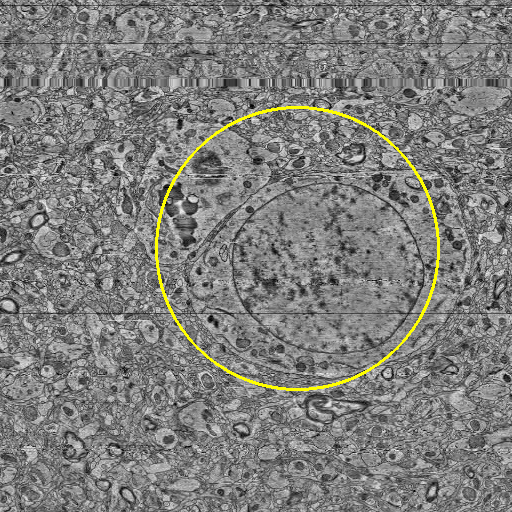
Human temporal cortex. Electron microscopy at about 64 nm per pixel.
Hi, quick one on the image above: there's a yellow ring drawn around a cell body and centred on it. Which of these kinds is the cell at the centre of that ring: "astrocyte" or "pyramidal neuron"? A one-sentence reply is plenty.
The cell at the centre of the ring is a pyramidal neuron.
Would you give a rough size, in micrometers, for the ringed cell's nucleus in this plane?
The nucleus comes to roughly 12 micrometres across in this plane.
